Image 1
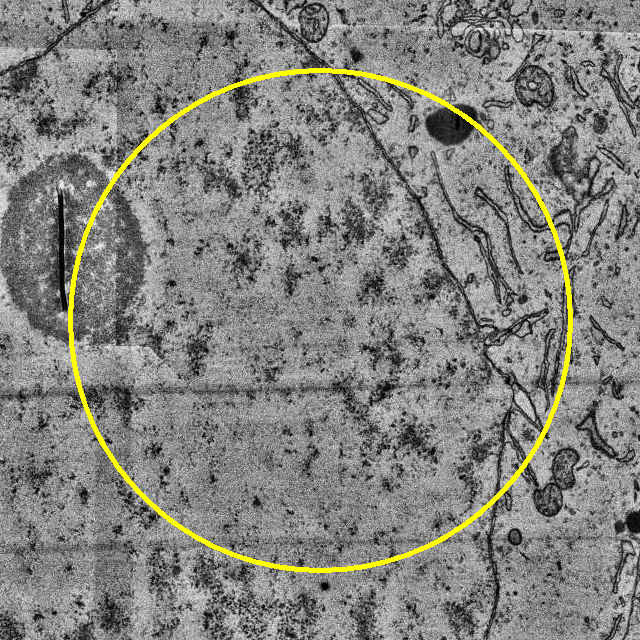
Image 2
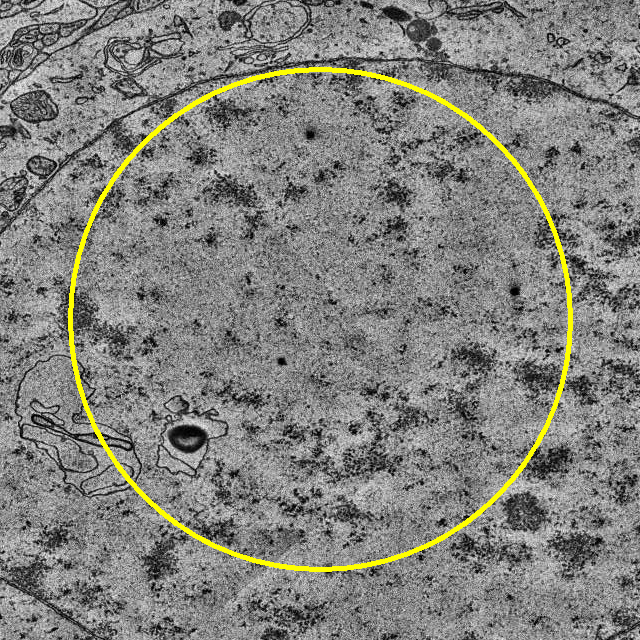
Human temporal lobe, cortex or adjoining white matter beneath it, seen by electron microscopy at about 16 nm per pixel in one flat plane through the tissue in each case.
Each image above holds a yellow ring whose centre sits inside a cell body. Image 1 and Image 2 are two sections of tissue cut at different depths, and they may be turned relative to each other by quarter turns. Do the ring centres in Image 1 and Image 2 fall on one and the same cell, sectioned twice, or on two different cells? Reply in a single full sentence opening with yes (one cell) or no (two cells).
No, one ring and the other ring mark two distinct cells.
